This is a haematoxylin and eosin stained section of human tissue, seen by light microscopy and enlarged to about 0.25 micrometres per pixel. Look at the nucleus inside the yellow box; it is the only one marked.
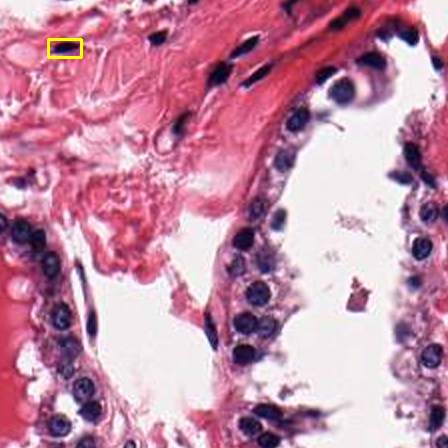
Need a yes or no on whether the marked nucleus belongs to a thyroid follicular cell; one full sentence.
No, the marked nucleus does not come from a thyroid follicular cell but from a supporting cell.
